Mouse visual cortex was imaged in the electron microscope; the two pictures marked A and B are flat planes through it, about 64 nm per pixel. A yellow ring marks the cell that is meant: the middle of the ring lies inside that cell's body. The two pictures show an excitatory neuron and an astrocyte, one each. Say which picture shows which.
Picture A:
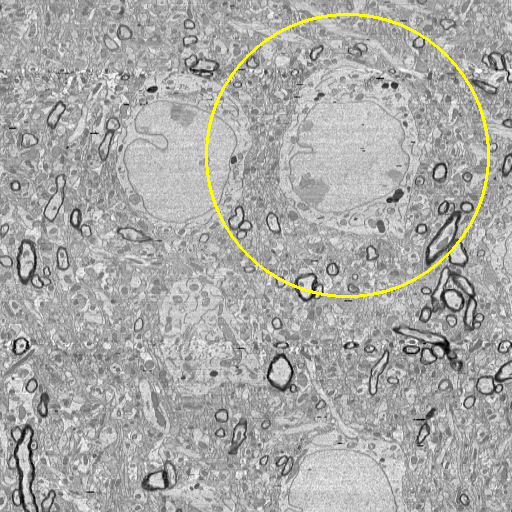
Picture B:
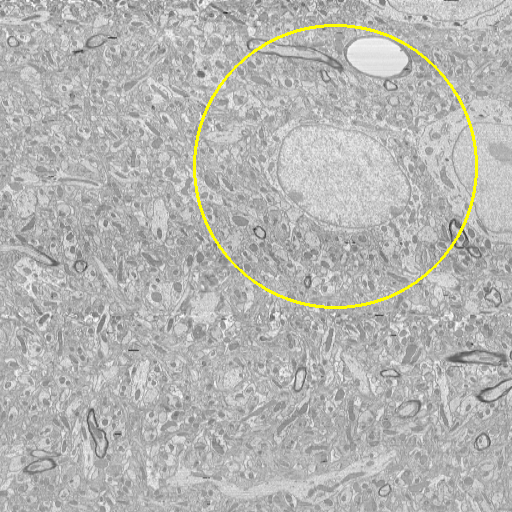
It is picture A that shows an excitatory neuron, and picture B that shows an astrocyte.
